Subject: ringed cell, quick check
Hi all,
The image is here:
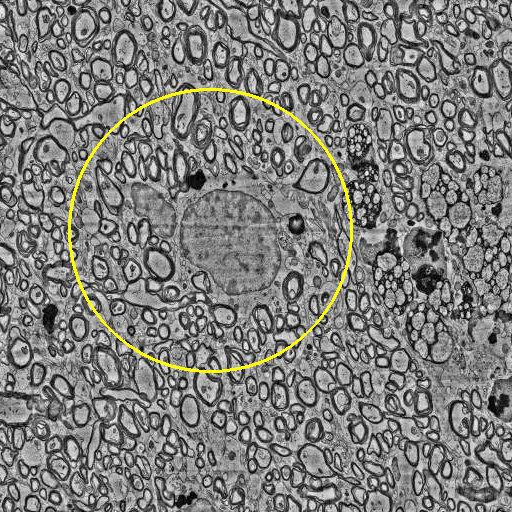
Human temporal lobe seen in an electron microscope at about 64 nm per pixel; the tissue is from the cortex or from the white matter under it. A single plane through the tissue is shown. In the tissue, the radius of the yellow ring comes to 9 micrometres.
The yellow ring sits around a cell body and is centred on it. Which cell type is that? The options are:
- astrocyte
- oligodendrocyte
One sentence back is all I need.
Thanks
That ringed cell is an oligodendrocyte.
